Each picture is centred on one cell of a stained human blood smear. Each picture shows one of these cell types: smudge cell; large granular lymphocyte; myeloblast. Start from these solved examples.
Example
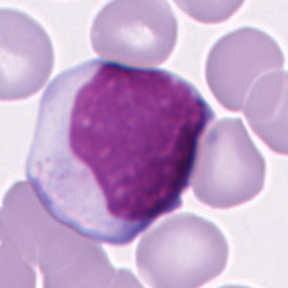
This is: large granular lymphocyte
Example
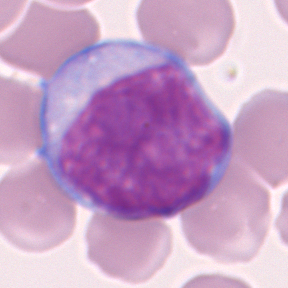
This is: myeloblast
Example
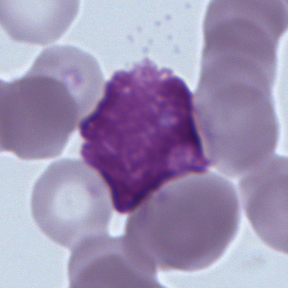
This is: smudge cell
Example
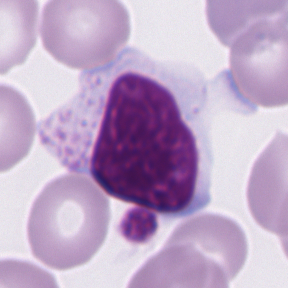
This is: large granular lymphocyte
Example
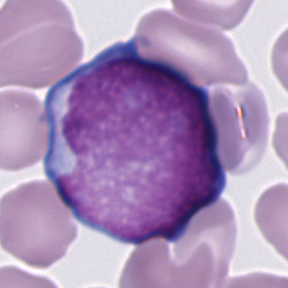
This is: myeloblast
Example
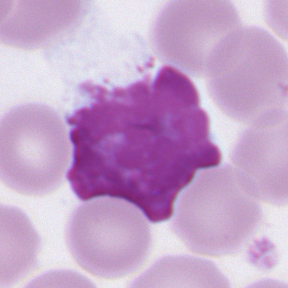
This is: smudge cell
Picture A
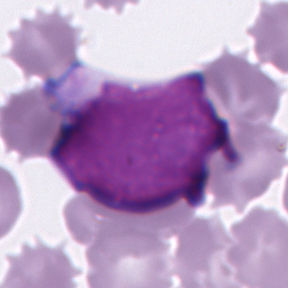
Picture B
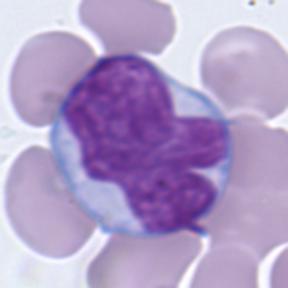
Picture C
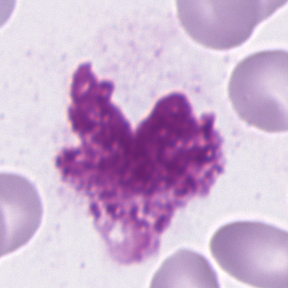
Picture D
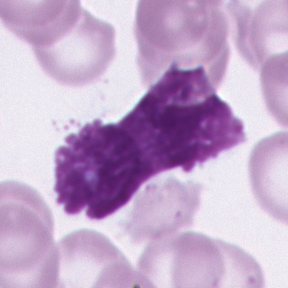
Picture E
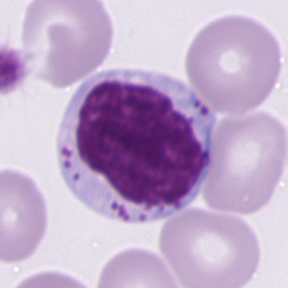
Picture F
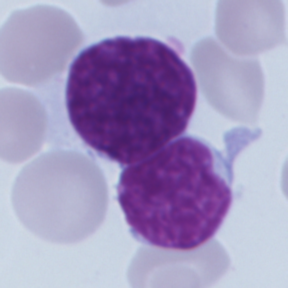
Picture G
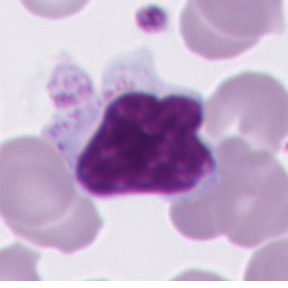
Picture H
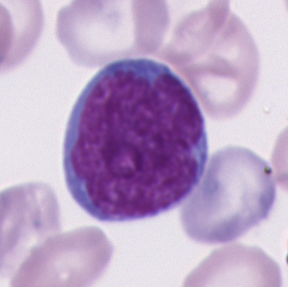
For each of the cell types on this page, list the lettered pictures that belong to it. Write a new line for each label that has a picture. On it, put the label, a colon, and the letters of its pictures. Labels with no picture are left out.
smudge cell: C, D
large granular lymphocyte: E, G
myeloblast: A, B, F, H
